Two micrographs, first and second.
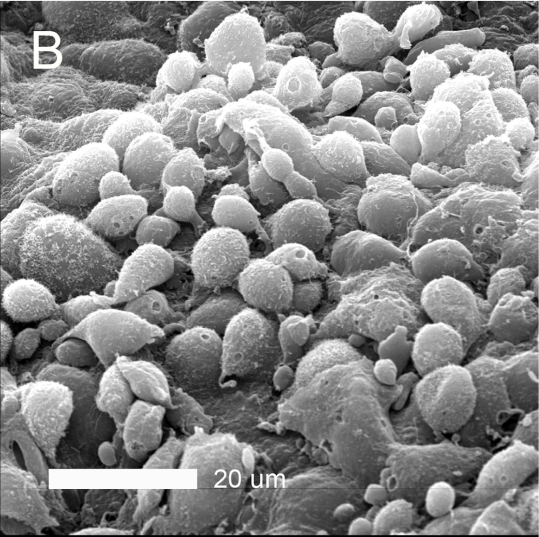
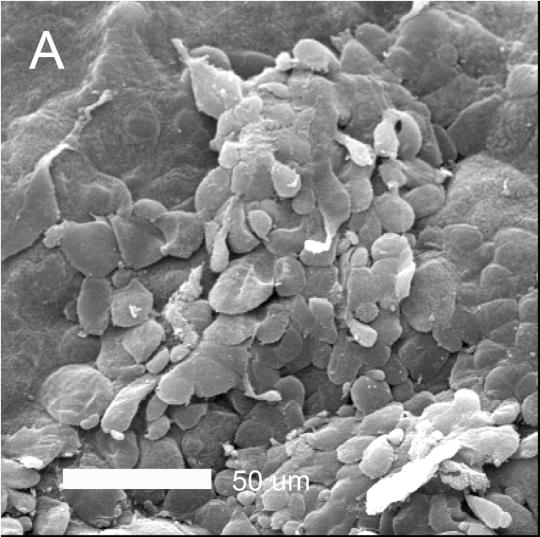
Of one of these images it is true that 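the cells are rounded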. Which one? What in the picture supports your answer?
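The first image. First image: most cells are dome-shaped or spherical and bulge up from the surface.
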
